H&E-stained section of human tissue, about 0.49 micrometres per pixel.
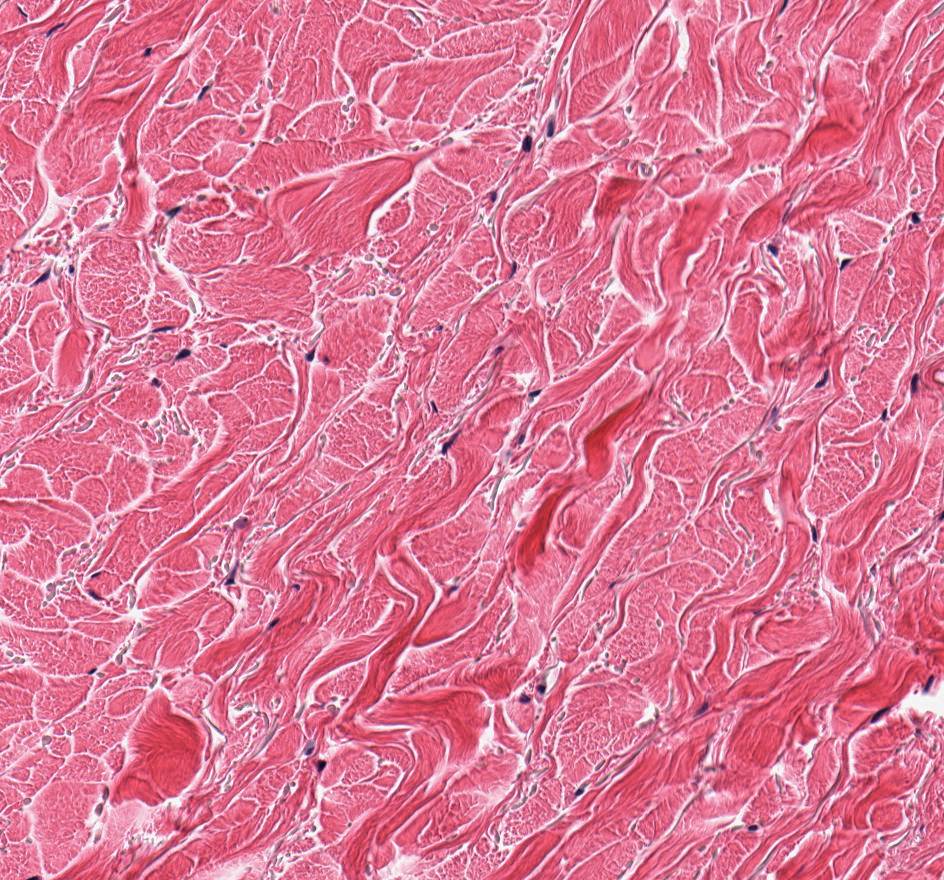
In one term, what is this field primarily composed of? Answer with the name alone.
dermis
